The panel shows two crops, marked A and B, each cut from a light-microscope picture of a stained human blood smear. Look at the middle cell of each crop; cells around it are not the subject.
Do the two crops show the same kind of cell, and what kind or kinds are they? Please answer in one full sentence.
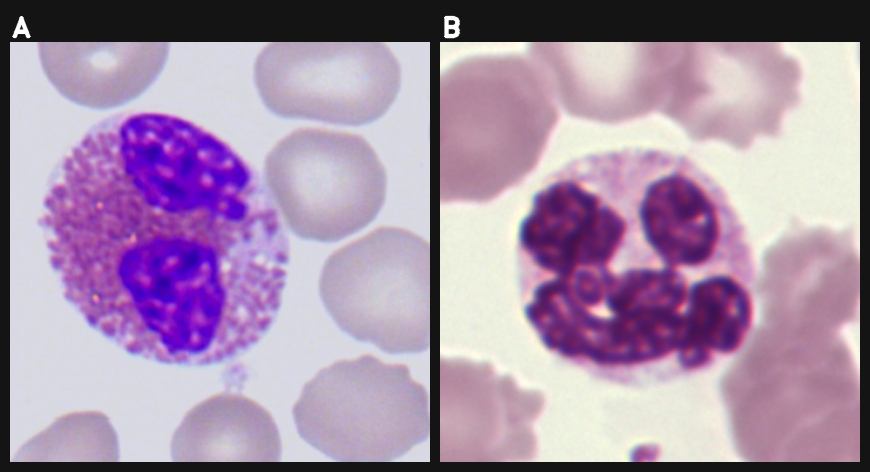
No, it is an eosinophil in crop A and a segmented neutrophil in crop B.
